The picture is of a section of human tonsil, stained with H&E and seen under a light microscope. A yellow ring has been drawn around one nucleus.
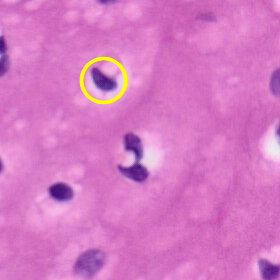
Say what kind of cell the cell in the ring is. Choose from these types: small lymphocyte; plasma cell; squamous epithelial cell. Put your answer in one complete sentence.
Histopathologically, the cell in the ring is a squamous epithelial cell.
